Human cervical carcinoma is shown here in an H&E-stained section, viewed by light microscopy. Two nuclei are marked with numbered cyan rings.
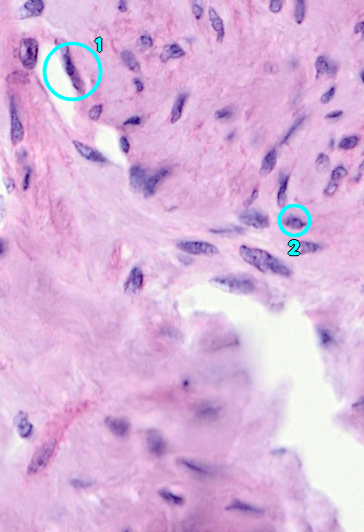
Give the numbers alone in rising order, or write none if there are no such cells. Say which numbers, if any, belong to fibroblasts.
2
